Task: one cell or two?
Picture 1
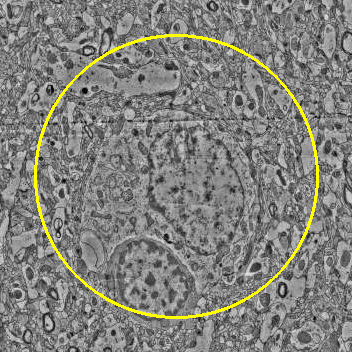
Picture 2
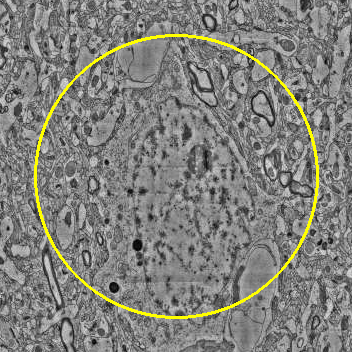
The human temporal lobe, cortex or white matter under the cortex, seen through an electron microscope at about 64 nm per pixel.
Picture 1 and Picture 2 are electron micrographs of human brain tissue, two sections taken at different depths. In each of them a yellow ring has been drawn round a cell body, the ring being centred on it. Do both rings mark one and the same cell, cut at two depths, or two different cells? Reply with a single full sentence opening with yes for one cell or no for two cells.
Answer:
No, it is two different cells that the rings mark.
